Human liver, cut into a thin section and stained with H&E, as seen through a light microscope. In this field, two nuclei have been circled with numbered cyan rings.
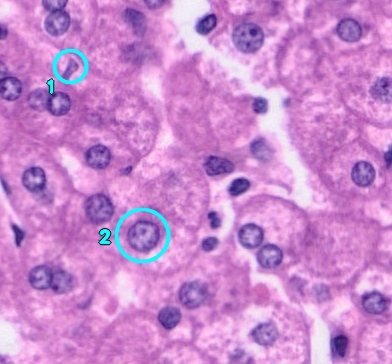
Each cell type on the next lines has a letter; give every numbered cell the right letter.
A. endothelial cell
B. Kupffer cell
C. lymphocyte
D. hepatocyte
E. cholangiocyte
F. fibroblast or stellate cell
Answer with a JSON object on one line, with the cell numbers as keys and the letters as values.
{"1": "A", "2": "D"}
